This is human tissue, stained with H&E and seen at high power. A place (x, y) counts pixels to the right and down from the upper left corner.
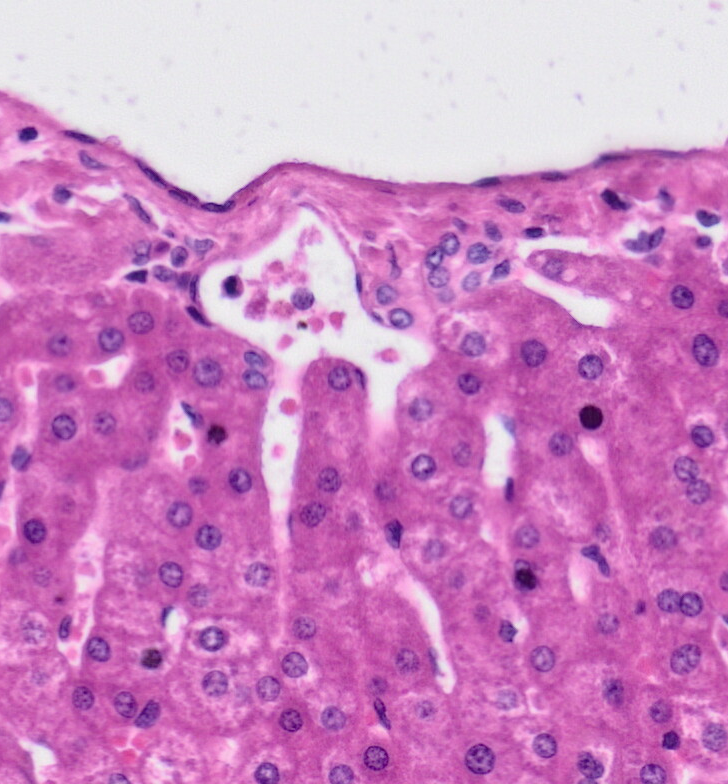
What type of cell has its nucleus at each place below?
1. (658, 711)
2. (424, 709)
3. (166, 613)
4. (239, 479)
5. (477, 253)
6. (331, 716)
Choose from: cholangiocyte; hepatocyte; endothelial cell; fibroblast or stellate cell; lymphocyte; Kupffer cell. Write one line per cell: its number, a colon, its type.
1: hepatocyte
2: hepatocyte
3: endothelial cell
4: hepatocyte
5: cholangiocyte
6: hepatocyte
